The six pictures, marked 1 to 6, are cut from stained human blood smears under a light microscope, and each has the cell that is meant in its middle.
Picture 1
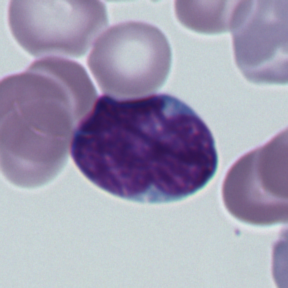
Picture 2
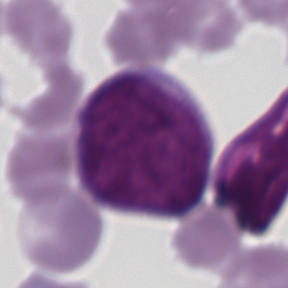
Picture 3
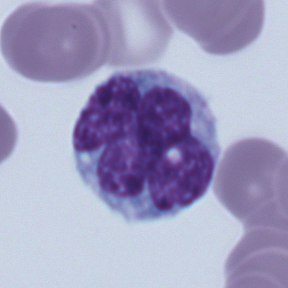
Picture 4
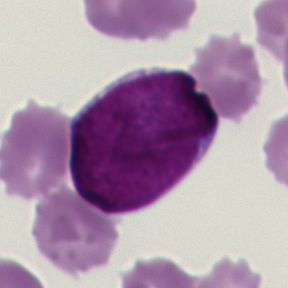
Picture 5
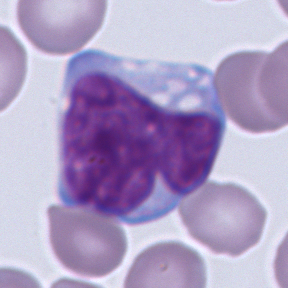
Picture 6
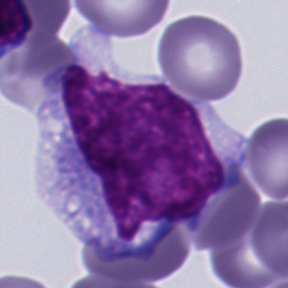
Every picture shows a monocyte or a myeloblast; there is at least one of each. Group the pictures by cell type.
1: myeloblast
2: myeloblast
3: monocyte
4: myeloblast
5: myeloblast
6: monocyte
